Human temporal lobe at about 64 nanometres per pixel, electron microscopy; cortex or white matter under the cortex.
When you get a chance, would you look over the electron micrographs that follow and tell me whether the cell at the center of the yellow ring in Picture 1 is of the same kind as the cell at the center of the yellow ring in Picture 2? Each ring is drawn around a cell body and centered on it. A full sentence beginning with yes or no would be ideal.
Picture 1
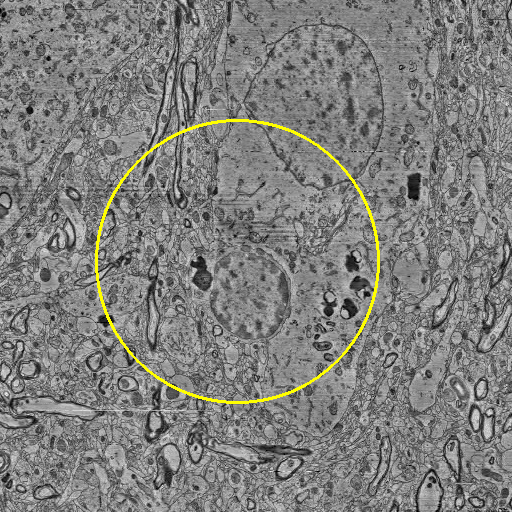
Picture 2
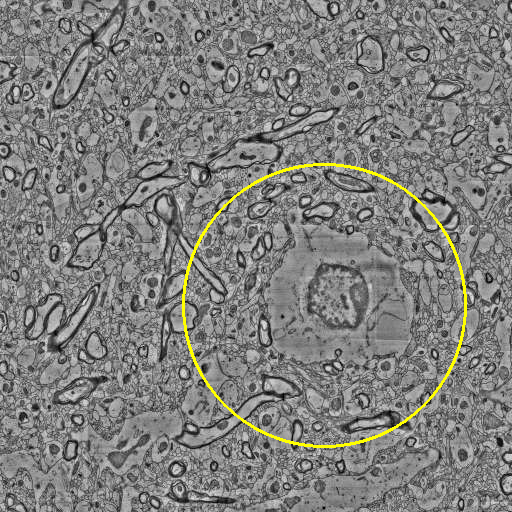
No, they are two kinds of cell.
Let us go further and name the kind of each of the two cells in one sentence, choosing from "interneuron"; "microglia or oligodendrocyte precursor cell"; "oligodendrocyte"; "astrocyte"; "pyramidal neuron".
The ring of the first picture is on an oligodendrocyte, the ring of the second on an astrocyte.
